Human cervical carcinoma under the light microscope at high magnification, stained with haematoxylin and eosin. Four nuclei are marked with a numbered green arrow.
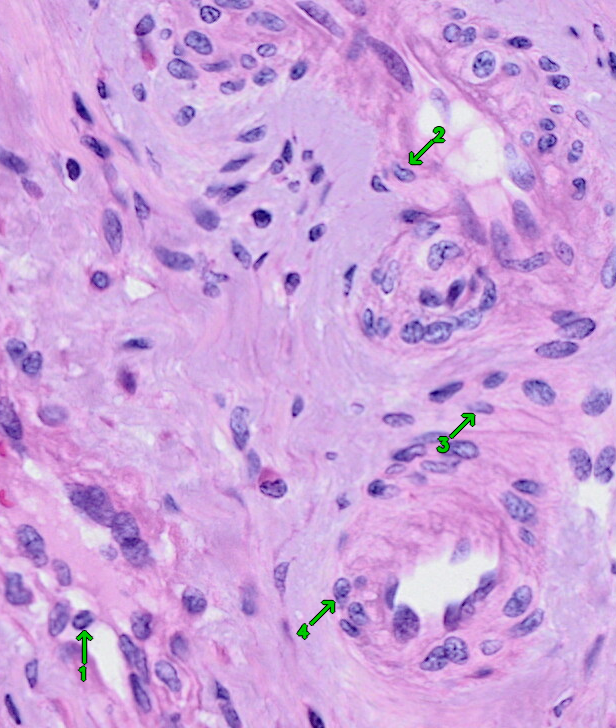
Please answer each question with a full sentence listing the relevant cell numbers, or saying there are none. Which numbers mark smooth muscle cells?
The cells numbered 2, 3 and 4 are of one kind: smooth muscle cells.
